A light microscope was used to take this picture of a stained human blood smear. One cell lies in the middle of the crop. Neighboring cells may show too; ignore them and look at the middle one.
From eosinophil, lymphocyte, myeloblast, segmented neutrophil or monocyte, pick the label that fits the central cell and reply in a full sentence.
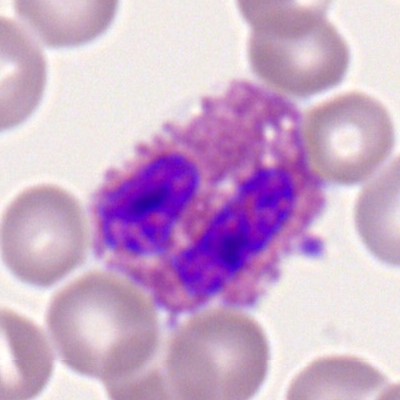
In short, the cell at the center is an eosinophil.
